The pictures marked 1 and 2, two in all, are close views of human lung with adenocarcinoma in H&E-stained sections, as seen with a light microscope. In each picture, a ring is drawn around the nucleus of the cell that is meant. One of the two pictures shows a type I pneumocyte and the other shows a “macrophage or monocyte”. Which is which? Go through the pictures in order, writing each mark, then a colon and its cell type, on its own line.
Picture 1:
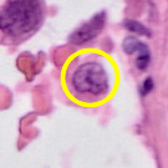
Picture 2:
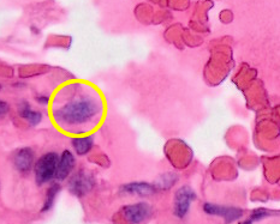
1: macrophage or monocyte
2: type I pneumocyte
